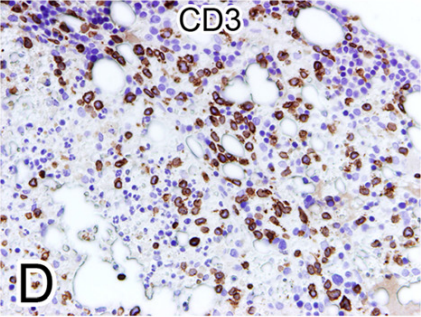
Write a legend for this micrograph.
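This bone marrow shows numerous brown-stained atypical lymphocytes scattered among unstained blue hematopoietic cells and fat spaces. The stained cells are small to medium-sized with scant cytoplasm, the brown rimming their nuclei.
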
